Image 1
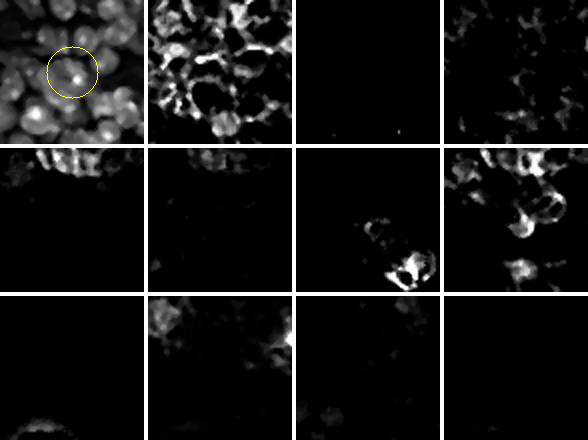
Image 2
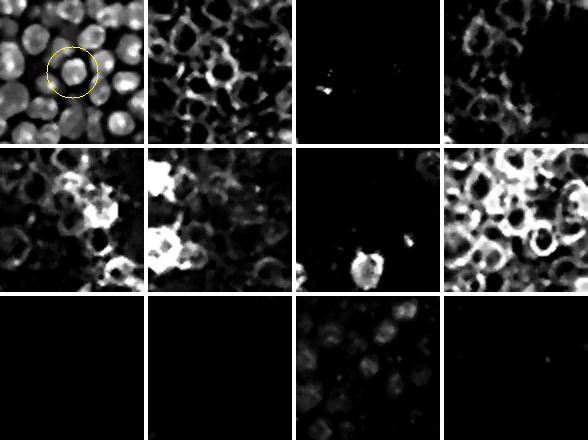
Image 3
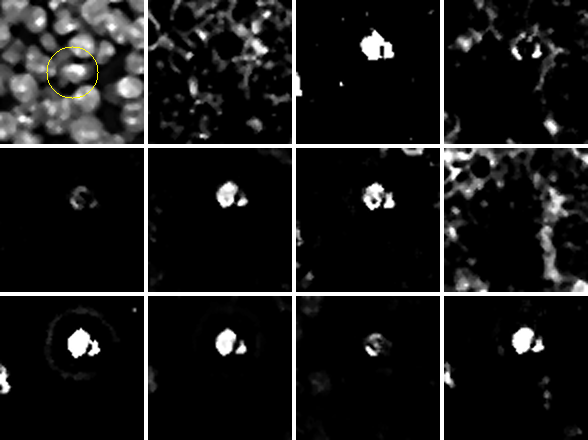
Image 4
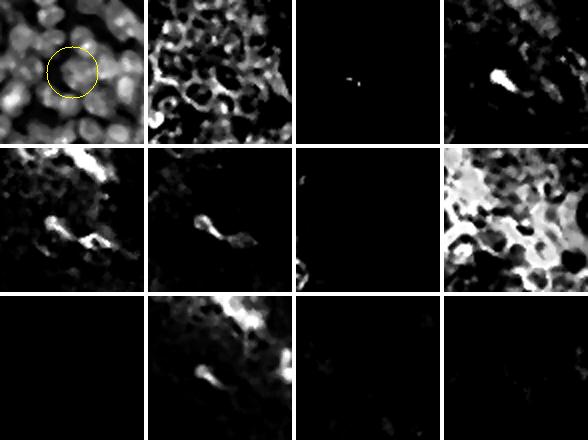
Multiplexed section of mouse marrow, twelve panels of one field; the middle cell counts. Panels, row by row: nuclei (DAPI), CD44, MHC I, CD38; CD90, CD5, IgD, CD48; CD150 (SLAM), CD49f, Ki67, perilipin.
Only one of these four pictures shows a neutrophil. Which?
Picture 3.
